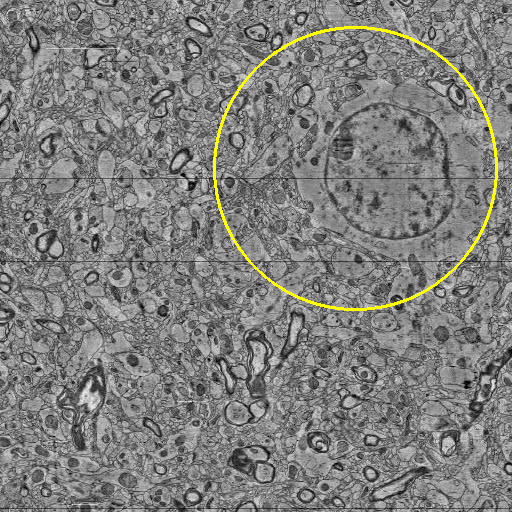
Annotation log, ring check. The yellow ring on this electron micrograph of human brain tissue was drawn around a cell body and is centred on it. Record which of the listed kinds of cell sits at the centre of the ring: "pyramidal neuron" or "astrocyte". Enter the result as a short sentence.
The cell at the centre of the ring is an astrocyte.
